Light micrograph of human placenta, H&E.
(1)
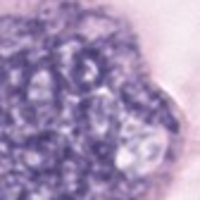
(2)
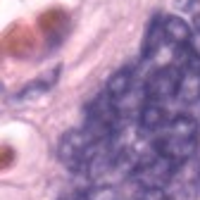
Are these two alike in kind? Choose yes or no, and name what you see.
Yes. Syncytial knots.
